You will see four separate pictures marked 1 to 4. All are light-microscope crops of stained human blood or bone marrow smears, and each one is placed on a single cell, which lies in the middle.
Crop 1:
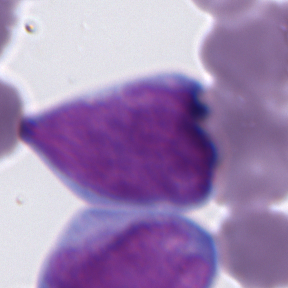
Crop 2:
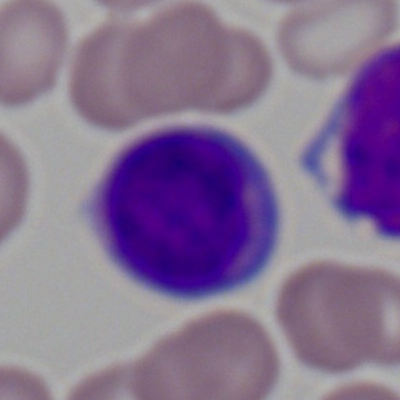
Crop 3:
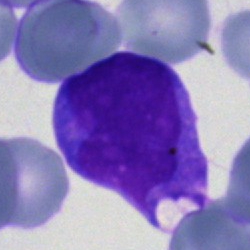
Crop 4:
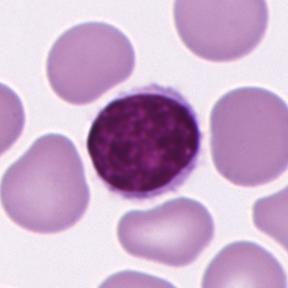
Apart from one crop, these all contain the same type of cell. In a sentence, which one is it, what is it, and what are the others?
Crop 4 does not fit, being a lymphocyte where all the others show blasts.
